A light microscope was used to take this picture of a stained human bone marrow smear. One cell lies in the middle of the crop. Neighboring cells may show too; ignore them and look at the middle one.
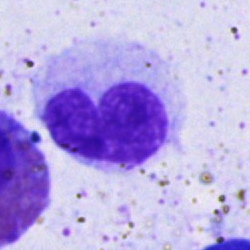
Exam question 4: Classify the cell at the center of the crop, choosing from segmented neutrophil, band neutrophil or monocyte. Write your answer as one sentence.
The cell in the middle of this crop is a band neutrophil.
